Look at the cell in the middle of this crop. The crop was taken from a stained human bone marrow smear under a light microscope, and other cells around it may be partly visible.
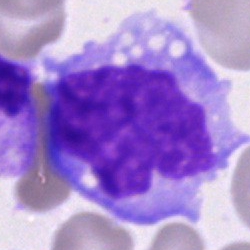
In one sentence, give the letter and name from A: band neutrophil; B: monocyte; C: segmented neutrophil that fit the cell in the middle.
As the central cell is a monocyte, option B is correct.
